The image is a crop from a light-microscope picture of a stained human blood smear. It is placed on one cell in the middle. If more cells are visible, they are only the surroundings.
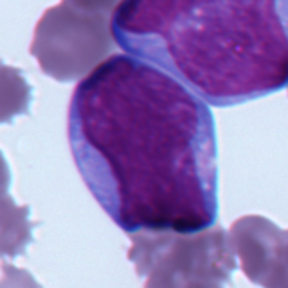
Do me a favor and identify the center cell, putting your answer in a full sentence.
Framed in the middle of the crop is a myeloblast.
